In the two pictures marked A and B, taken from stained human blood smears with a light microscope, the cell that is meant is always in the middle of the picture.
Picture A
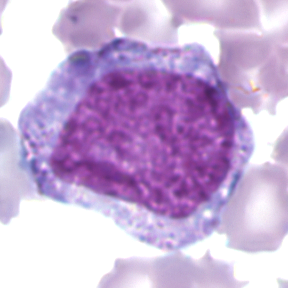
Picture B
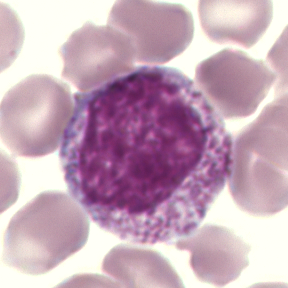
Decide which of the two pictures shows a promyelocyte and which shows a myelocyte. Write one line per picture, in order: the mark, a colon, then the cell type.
A: promyelocyte
B: myelocyte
